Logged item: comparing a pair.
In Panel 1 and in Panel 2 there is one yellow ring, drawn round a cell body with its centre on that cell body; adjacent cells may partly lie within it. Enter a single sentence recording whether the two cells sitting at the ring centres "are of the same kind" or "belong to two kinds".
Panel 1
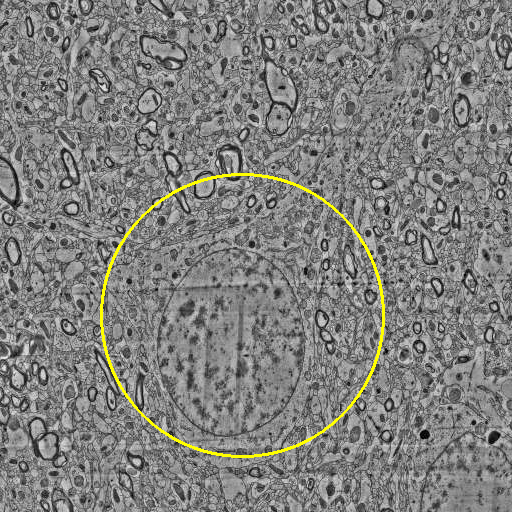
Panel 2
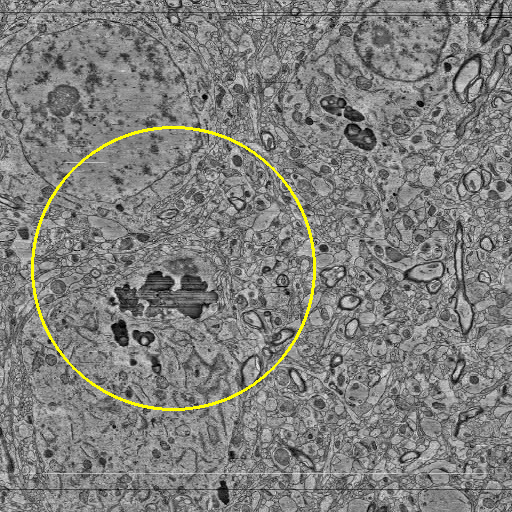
Logged: the cells centred in the rings of Panel 1 and Panel 2 belong to two kinds.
